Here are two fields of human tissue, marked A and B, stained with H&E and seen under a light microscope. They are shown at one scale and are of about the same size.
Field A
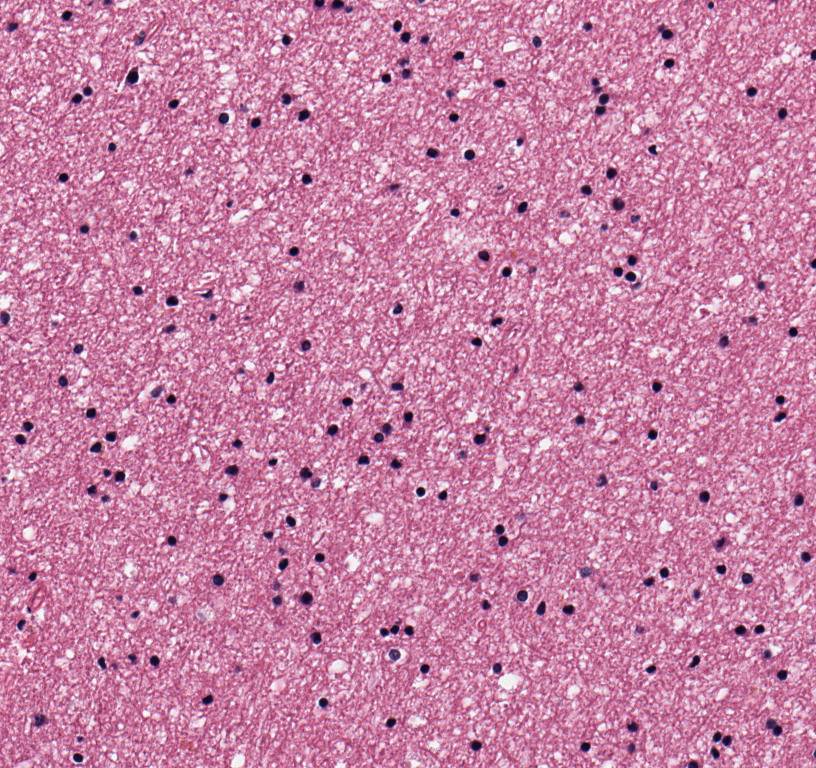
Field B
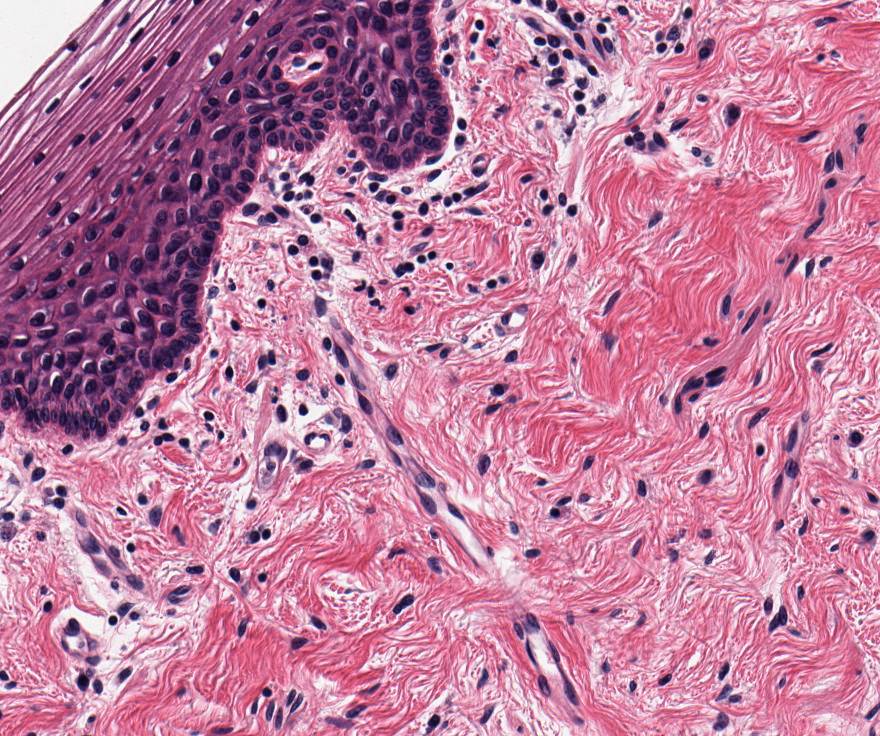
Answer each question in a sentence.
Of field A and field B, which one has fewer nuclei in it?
It is field A that has fewer nuclei in it.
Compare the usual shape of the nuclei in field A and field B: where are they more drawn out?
The nuclei are more elongated in field B.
